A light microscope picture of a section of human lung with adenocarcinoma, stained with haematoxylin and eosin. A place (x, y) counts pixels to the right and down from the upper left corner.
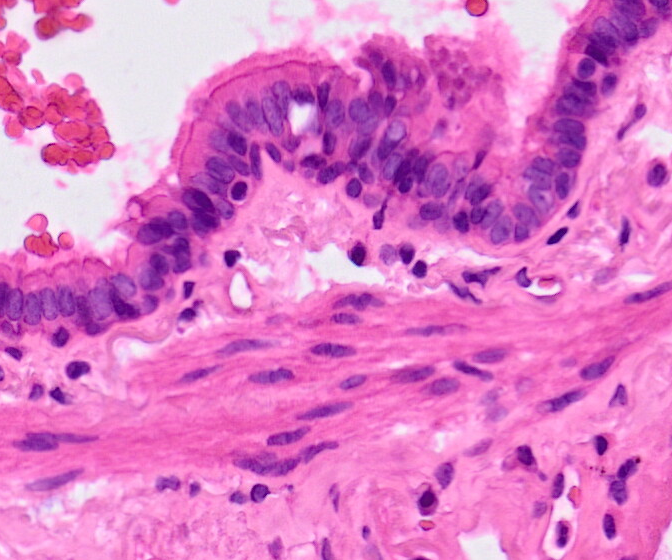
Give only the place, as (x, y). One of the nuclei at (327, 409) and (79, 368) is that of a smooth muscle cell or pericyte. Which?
(327, 409)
